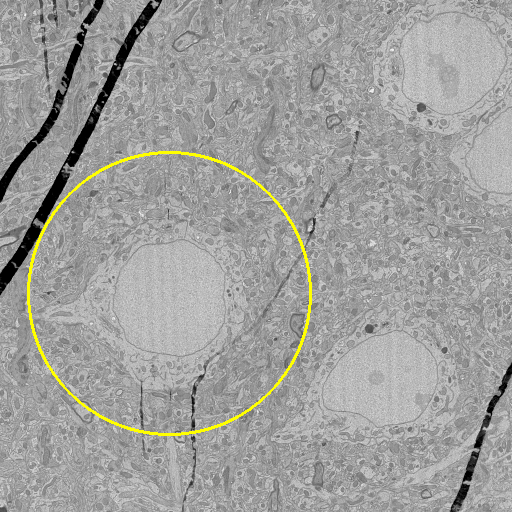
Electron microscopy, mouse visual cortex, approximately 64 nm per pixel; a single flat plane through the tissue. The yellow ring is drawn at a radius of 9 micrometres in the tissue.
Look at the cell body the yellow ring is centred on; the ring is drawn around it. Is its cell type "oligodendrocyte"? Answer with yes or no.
No, its cell type is another.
